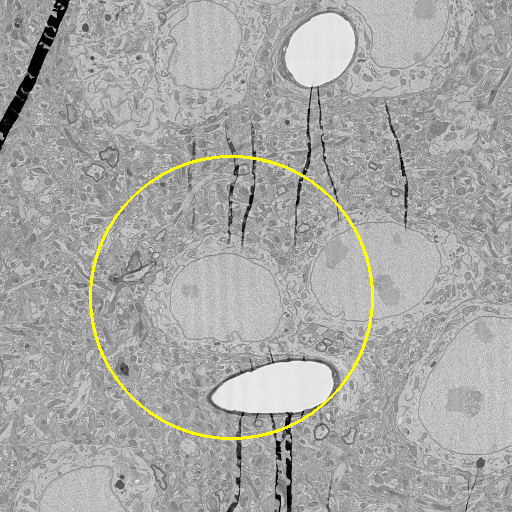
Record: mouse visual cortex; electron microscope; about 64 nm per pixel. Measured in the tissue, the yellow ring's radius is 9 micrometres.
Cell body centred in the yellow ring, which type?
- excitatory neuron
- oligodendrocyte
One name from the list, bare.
excitatory neuron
